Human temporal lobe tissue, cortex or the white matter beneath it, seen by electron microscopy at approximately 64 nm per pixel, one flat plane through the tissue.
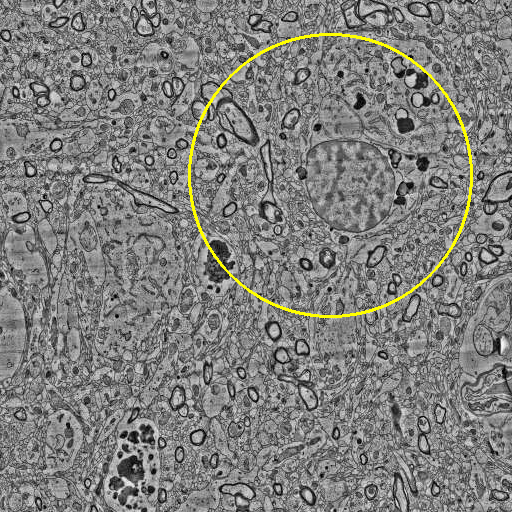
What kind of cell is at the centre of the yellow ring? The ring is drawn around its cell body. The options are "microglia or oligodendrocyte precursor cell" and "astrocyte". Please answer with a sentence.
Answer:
The yellow ring marks the cell body of a microglial cell or oligodendrocyte precursor cell.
